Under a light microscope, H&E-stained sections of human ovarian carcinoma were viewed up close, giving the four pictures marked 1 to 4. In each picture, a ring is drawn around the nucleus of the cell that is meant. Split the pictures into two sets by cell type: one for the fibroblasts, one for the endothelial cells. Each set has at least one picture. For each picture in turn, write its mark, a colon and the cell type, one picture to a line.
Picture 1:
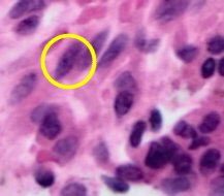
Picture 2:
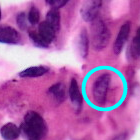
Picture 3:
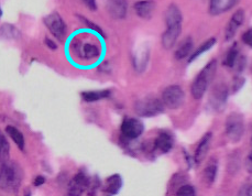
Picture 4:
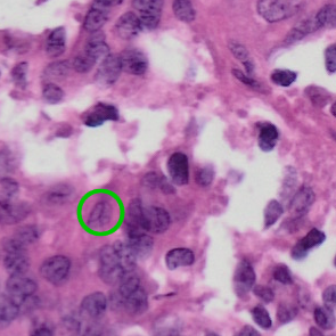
1: fibroblast
2: endothelial cell
3: endothelial cell
4: endothelial cell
